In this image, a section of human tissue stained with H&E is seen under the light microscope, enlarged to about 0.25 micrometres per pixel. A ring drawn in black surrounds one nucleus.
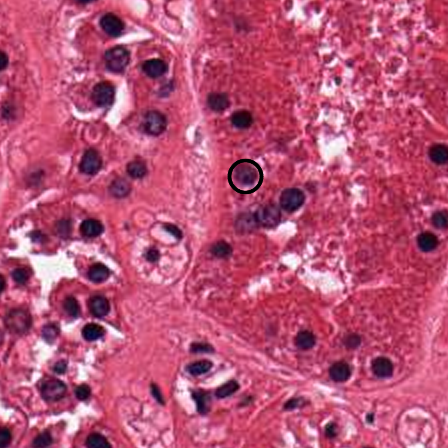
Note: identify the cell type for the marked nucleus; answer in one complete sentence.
The marked nucleus sits within a proximal tubule cell.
